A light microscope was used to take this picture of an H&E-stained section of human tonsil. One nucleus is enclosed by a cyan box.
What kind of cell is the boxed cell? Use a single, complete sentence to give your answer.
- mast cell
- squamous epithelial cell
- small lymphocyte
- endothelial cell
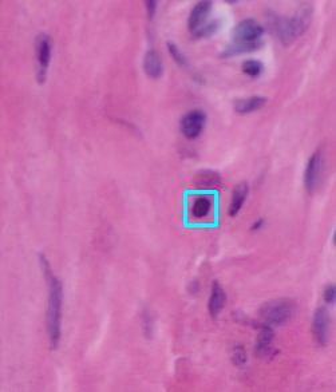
In this field of tissue, the boxed cell is a mast cell.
